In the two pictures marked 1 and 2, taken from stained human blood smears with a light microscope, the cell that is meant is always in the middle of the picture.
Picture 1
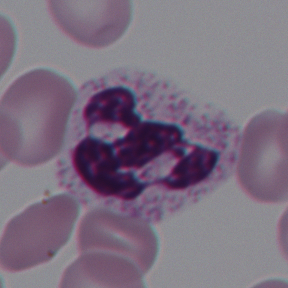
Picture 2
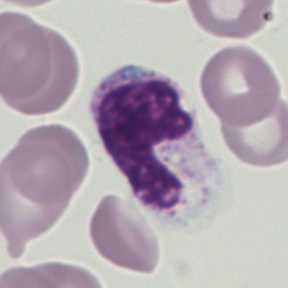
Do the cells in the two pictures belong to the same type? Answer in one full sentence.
Yes, they are the same type: both are segmented neutrophils.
